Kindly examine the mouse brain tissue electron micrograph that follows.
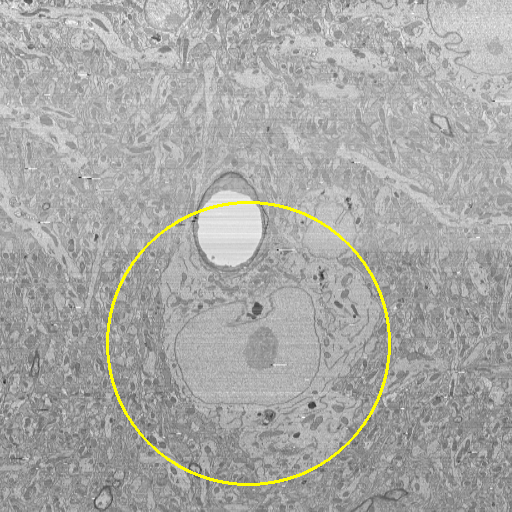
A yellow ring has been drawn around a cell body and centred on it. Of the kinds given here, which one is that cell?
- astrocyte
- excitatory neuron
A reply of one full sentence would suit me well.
The micrograph's ringed cell, the one at the ring's centre, is an excitatory neuron.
